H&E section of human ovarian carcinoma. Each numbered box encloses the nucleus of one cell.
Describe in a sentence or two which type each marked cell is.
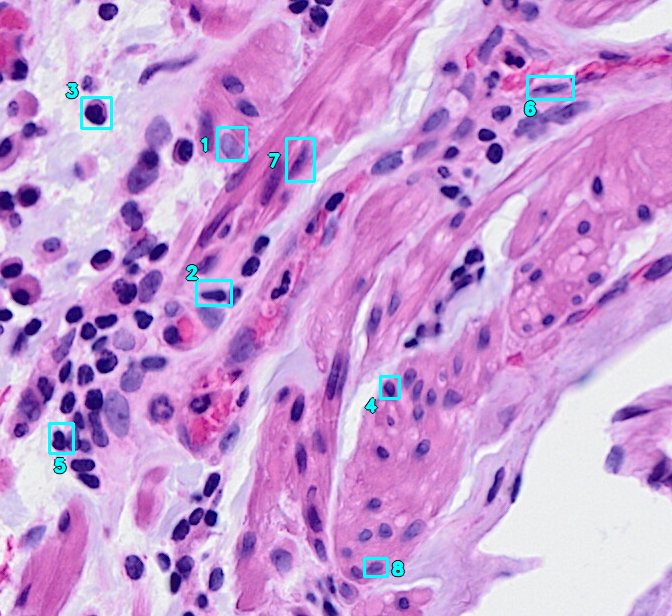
Cells 1, 4, 7 and 8 are smooth muscle cells. Cells 2, 3 and 5 are lymphocytes. Cell 6 is an endothelial cell.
